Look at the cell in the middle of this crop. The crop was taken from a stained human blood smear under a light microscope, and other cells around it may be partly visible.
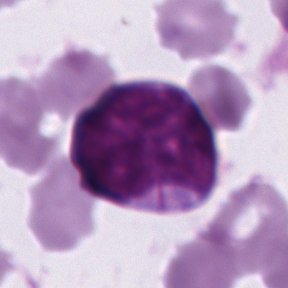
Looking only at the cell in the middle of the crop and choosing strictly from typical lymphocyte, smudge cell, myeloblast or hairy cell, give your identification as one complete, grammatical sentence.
The cell featured at the centre of this crop is a myeloblast.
